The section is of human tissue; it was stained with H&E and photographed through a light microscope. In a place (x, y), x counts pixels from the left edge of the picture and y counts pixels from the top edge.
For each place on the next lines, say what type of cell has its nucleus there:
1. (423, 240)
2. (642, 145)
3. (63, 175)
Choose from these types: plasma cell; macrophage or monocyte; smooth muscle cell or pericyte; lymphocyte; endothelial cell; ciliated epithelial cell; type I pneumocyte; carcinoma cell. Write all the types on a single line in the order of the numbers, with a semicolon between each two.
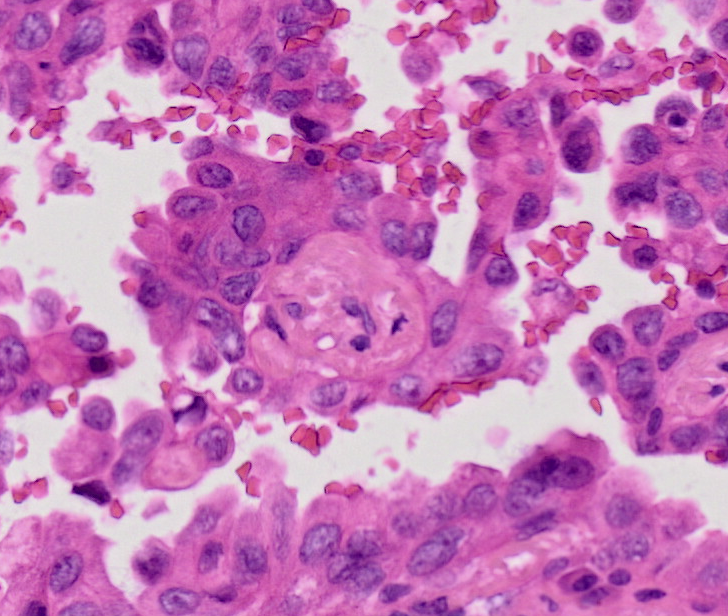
carcinoma cell; carcinoma cell; macrophage or monocyte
